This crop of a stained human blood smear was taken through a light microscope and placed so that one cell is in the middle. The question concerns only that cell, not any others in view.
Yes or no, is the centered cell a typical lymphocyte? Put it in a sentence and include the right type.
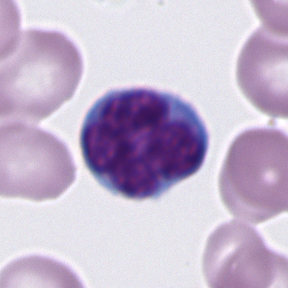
No, it is a myeloblast rather than a typical lymphocyte that the middle of the crop contains.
